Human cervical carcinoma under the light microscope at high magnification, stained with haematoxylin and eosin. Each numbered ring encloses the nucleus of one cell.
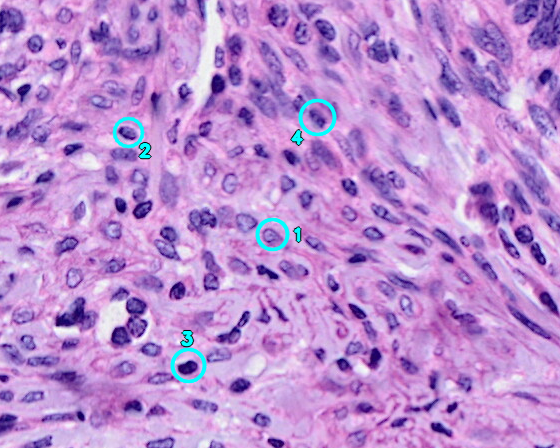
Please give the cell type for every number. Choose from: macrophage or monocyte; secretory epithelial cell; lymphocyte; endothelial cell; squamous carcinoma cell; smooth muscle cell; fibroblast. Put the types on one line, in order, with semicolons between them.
smooth muscle cell; lymphocyte; lymphocyte; lymphocyte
